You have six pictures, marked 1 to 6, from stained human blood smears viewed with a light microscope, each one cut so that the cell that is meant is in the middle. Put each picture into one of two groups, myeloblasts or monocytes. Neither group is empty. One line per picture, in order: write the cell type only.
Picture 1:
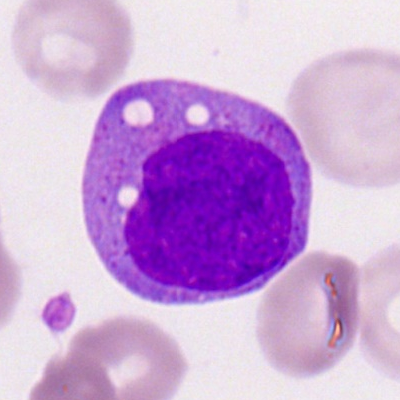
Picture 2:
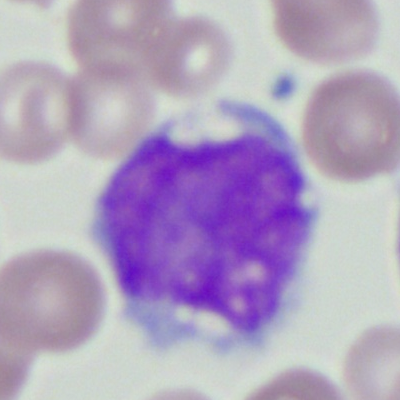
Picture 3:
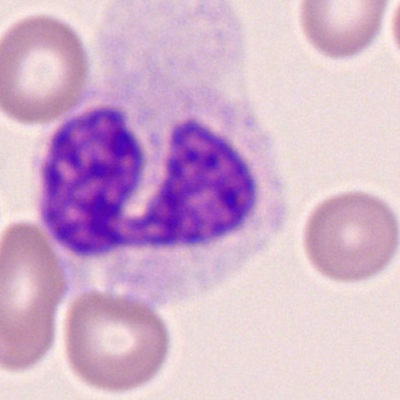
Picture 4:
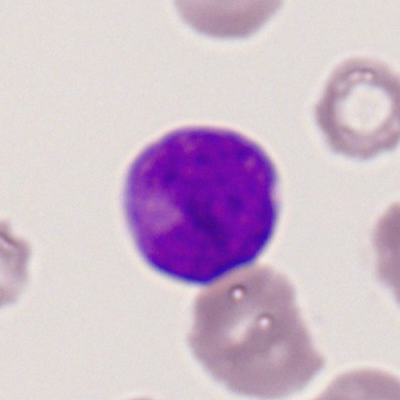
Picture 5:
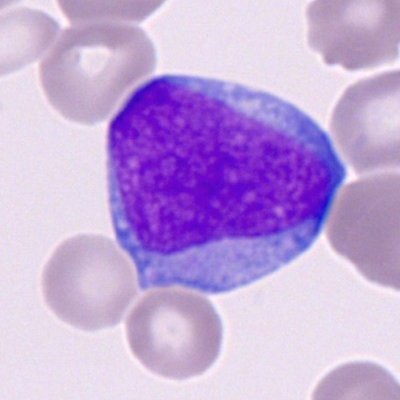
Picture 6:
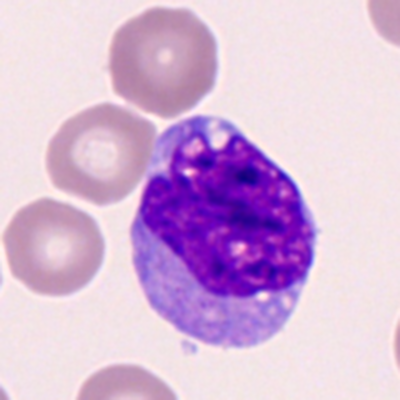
myeloblast
monocyte
monocyte
myeloblast
myeloblast
monocyte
